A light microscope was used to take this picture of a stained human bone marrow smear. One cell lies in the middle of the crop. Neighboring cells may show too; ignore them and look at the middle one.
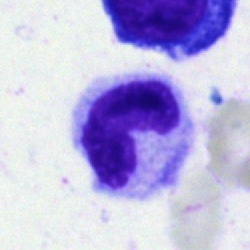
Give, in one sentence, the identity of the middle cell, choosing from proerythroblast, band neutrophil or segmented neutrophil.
The cell featured at the centre of this crop is a band neutrophil.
